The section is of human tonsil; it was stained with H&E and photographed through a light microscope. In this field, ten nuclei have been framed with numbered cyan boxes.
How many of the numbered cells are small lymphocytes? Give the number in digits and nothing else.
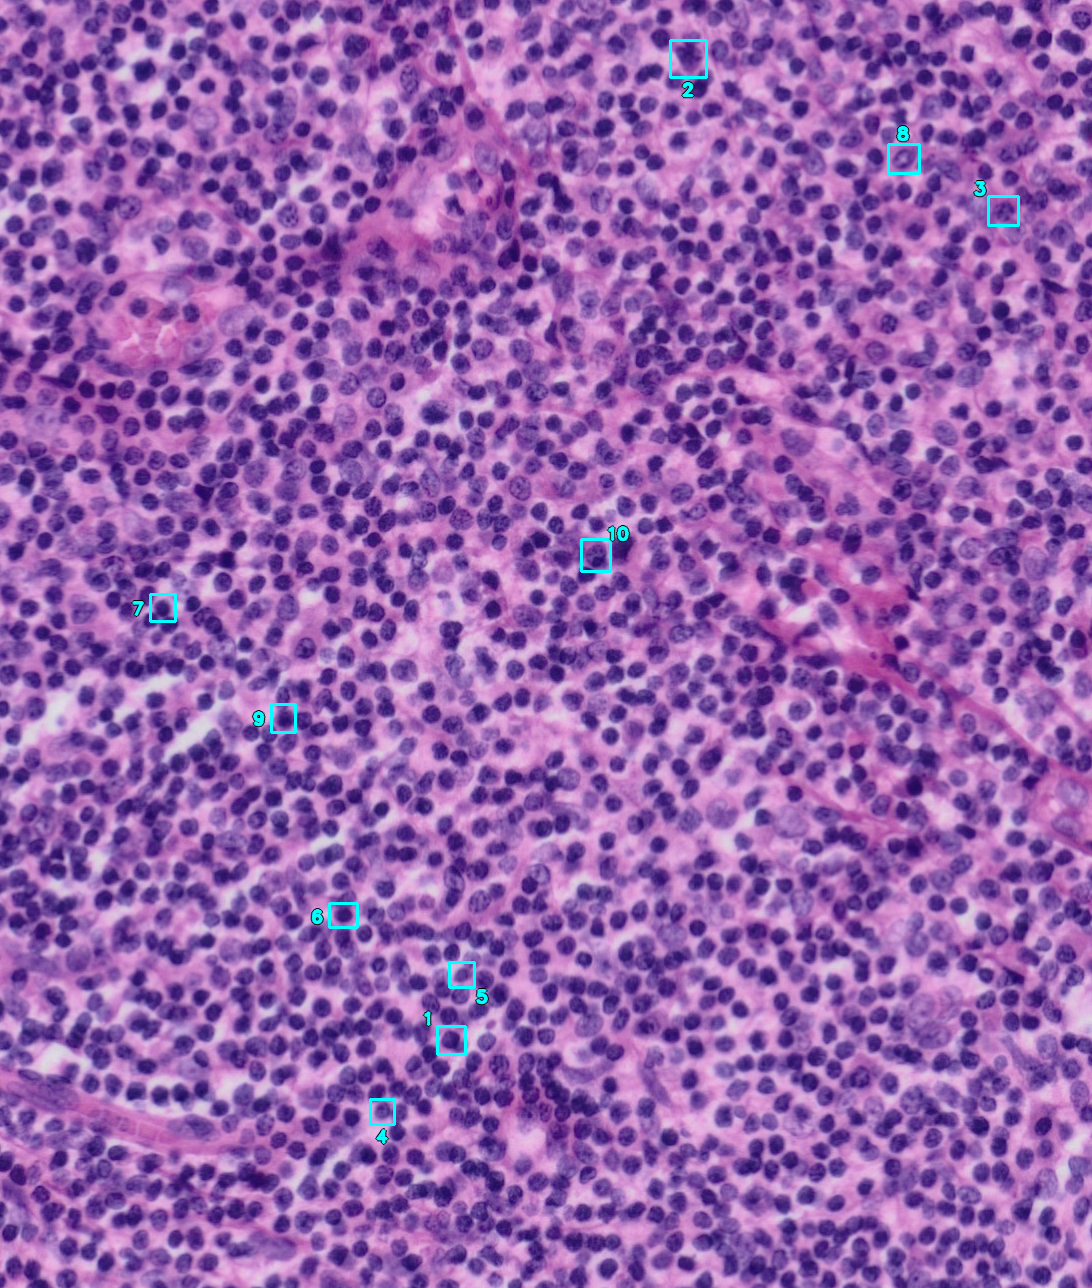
6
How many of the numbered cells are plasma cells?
3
